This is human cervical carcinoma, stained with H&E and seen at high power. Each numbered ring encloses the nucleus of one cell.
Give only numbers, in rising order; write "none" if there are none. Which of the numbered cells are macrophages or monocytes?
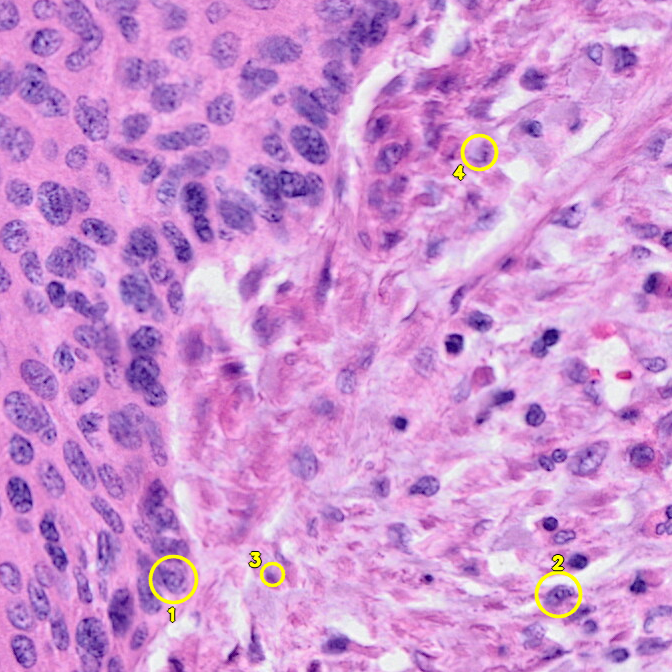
2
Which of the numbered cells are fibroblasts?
3, 4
